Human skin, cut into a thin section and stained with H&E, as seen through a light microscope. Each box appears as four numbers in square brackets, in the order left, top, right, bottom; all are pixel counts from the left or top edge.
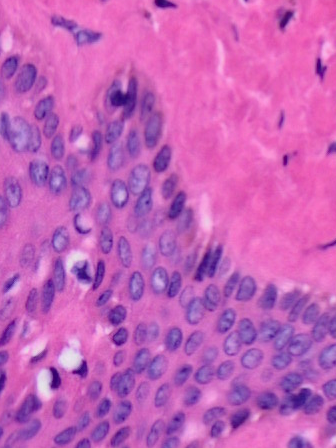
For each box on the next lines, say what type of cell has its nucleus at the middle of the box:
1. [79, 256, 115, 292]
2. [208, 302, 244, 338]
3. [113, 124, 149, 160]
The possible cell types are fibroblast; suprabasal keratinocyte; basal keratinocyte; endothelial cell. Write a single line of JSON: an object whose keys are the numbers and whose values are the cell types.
{"1": "basal keratinocyte", "2": "suprabasal keratinocyte", "3": "basal keratinocyte"}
